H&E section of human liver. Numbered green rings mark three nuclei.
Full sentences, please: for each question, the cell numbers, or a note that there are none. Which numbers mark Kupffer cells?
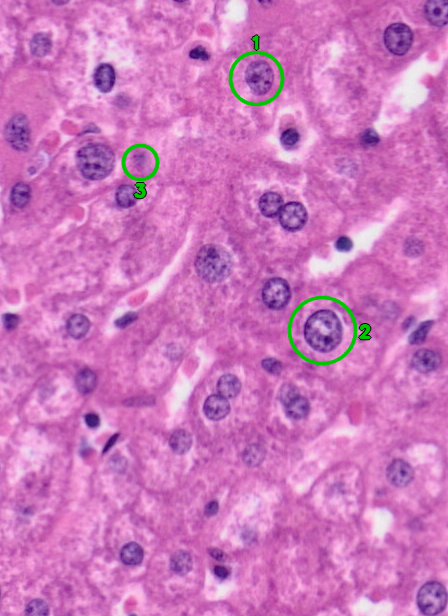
Cell 3 is a Kupffer cell, and it is the only numbered cell that is.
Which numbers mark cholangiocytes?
There is not a single one of the cholangiocytes among the numbered cells.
